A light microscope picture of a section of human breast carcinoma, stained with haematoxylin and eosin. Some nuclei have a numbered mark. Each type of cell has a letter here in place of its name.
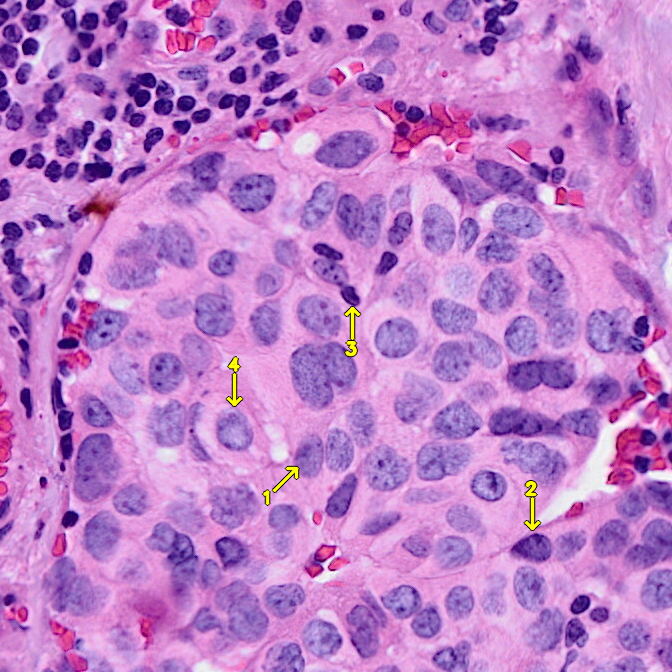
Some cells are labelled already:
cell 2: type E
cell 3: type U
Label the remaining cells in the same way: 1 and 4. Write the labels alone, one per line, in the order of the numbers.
type E
type E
